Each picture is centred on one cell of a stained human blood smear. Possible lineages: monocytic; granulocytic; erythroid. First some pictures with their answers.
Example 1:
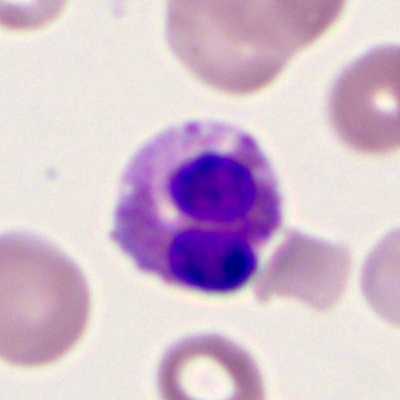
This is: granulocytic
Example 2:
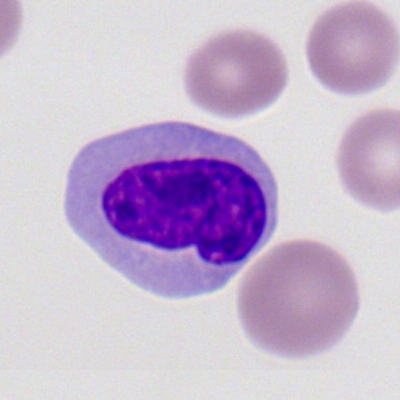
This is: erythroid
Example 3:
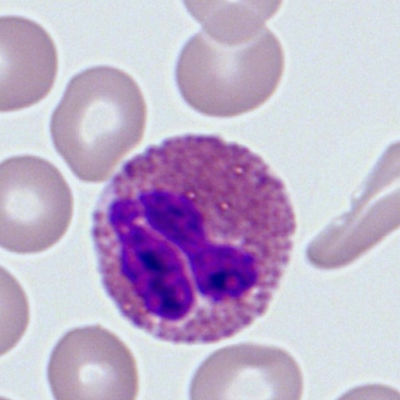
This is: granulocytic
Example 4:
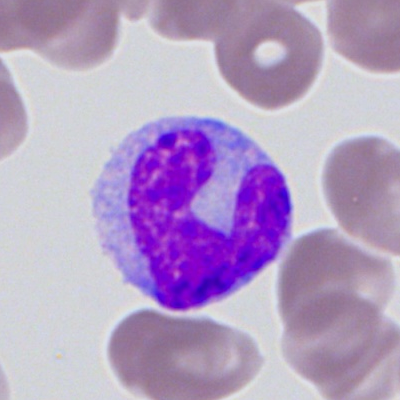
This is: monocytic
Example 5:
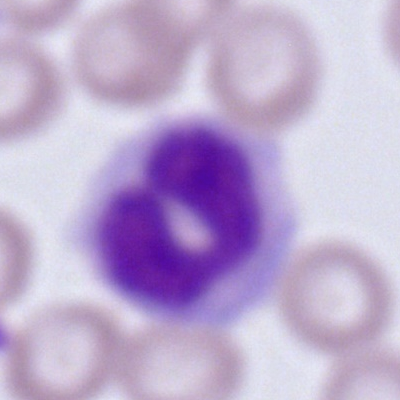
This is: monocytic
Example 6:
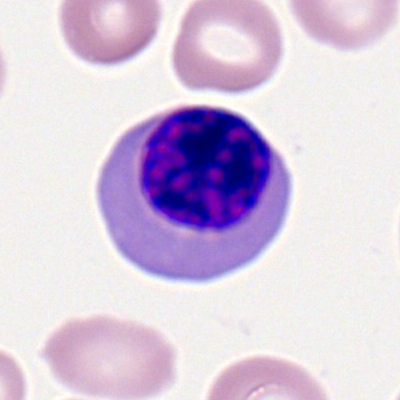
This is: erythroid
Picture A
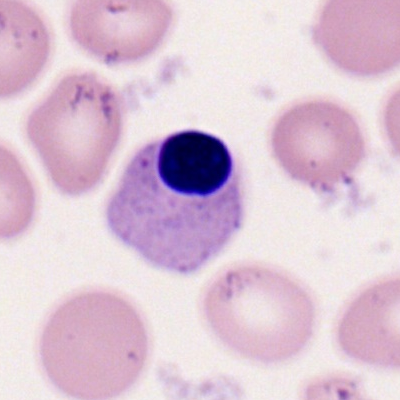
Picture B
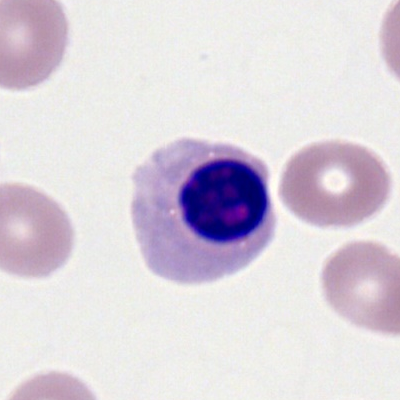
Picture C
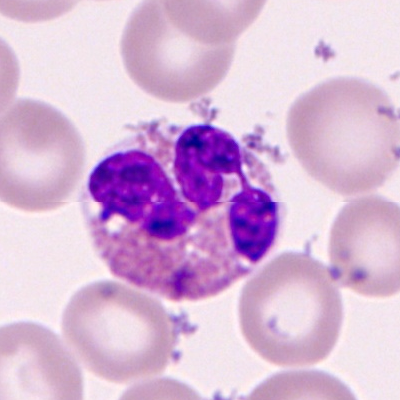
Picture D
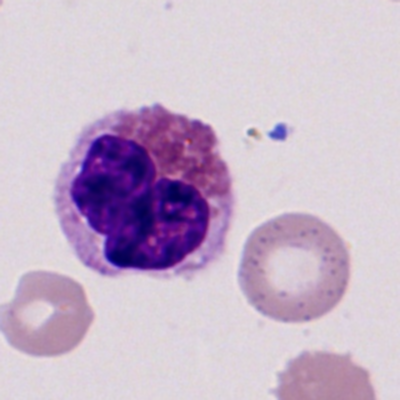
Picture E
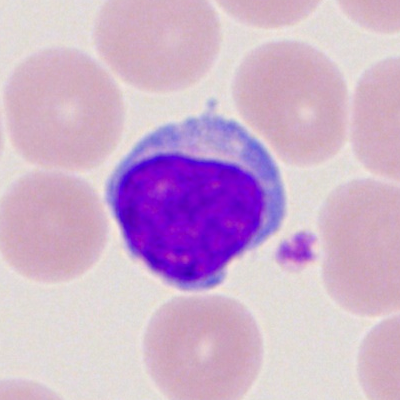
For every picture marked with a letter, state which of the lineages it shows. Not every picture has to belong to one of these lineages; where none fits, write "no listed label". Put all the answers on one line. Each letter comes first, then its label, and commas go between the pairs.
A erythroid, B erythroid, C granulocytic, D granulocytic, E no listed label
